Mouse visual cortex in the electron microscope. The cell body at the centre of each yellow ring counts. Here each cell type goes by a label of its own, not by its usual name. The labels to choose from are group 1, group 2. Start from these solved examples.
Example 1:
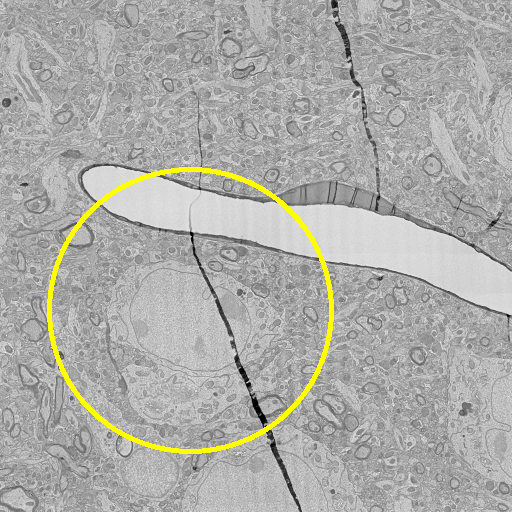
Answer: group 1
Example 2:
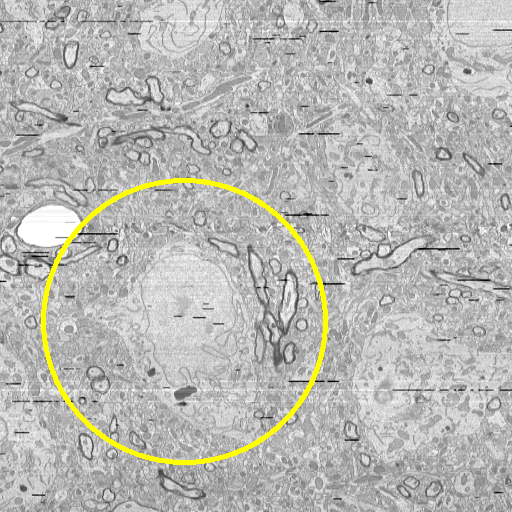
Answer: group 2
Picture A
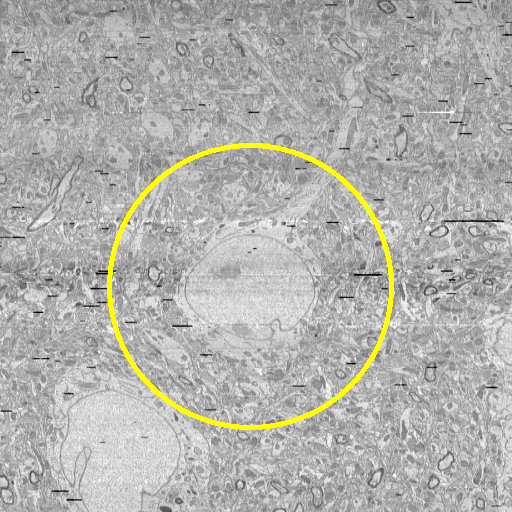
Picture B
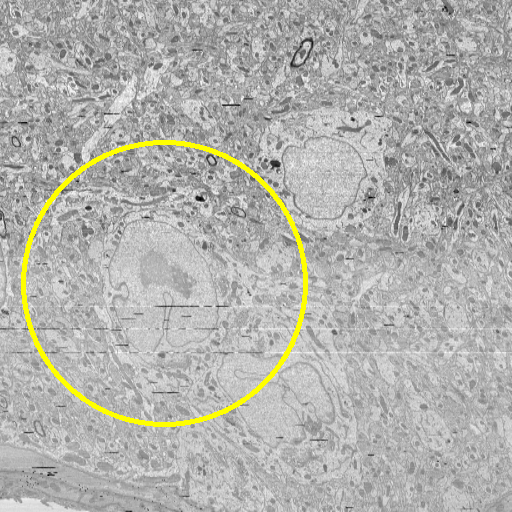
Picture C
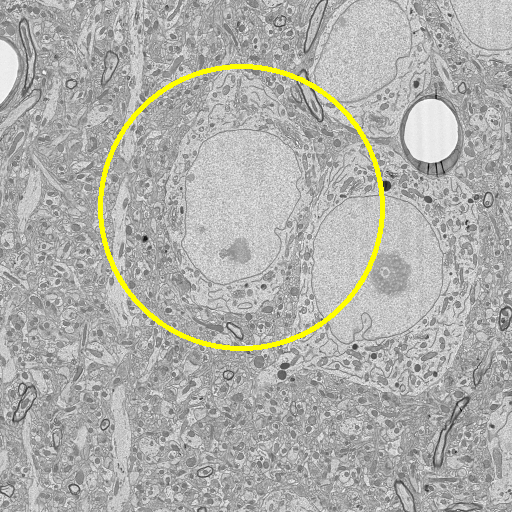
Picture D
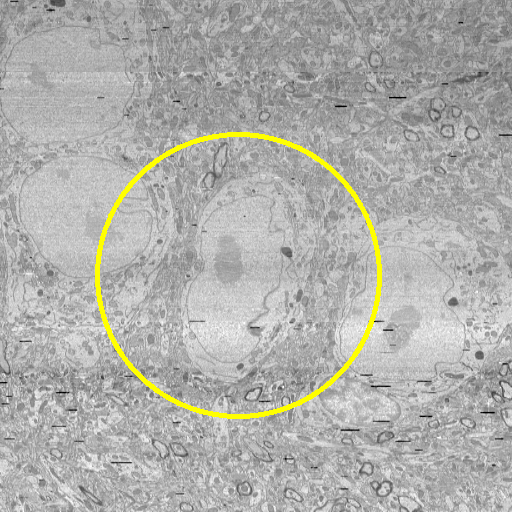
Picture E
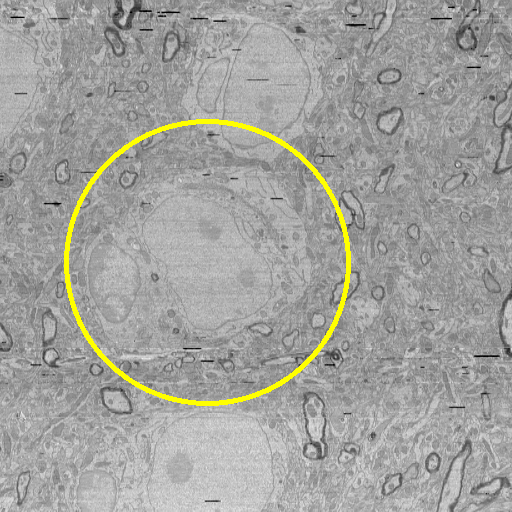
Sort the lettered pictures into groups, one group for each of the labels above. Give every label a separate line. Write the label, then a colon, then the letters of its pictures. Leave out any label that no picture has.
group 1: A, C, D, E
group 2: B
